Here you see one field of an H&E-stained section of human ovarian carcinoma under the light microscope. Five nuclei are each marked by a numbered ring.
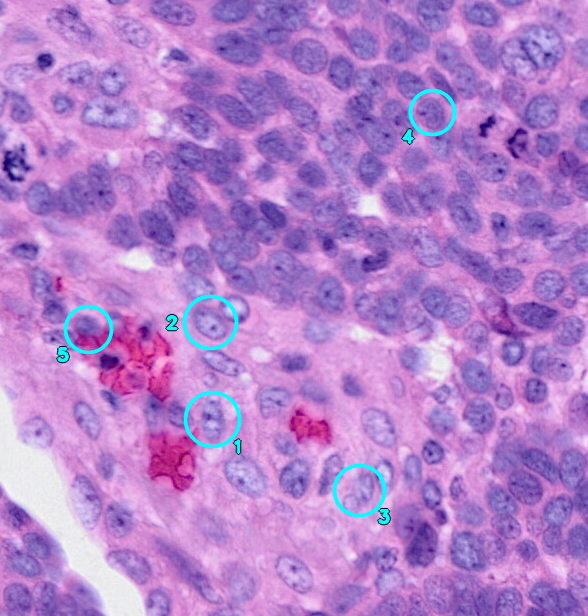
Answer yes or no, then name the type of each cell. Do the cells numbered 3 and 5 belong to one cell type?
No, cell 3 is a fibroblast and cell 5 is an endothelial cell.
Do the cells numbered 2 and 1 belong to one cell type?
Yes, both are fibroblasts.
